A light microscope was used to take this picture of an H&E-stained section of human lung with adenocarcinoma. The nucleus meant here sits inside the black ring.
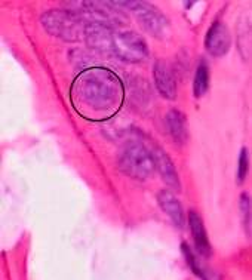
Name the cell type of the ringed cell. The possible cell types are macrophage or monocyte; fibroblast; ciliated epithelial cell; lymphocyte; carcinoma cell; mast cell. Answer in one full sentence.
In this section of tissue, the ringed cell is a ciliated epithelial cell.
